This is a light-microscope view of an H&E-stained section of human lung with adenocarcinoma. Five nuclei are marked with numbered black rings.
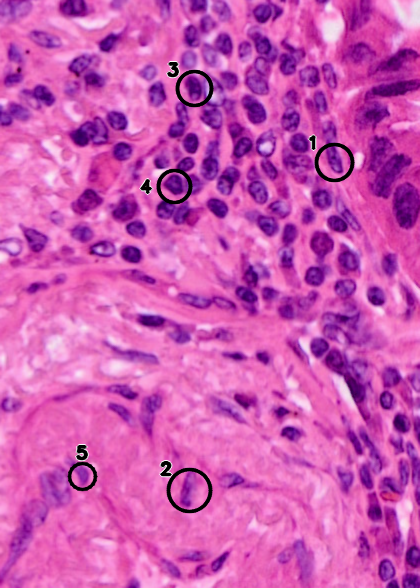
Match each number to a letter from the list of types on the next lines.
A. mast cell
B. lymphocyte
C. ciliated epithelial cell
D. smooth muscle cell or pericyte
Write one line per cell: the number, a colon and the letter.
1: B
2: D
3: B
4: B
5: D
